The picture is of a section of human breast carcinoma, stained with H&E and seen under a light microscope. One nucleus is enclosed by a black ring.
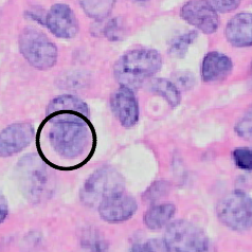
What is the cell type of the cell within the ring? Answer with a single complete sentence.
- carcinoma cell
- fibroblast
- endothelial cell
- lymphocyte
As classified here, the cell within the ring is a carcinoma cell.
